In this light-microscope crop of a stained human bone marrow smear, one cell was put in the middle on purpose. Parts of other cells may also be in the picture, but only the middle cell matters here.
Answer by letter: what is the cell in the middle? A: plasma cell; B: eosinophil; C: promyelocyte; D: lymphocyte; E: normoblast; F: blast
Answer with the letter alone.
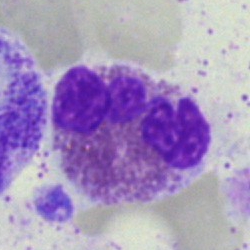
B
